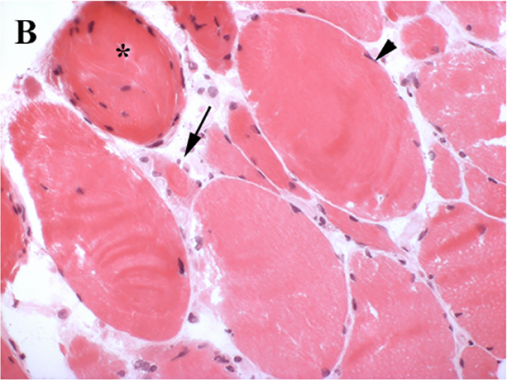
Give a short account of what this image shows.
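This cross-section of skeletal muscle shows fibers of extremely uneven size, with some very large rounded fibers beside many small ones. Small fibers cluster between the large ones. Wide pale areas of connective tissue separate the fibers, in place of the tight packing of normal muscle.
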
